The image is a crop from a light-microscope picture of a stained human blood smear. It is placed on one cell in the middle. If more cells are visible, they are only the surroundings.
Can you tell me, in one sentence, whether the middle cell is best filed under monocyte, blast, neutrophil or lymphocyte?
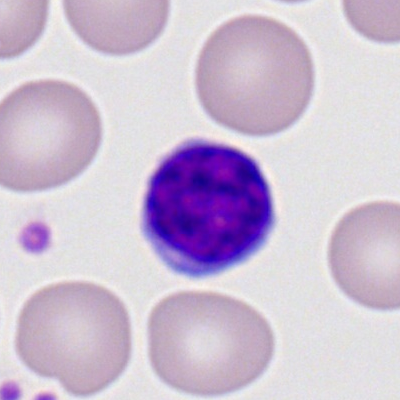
The cell featured at the centre of this crop is a lymphocyte.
